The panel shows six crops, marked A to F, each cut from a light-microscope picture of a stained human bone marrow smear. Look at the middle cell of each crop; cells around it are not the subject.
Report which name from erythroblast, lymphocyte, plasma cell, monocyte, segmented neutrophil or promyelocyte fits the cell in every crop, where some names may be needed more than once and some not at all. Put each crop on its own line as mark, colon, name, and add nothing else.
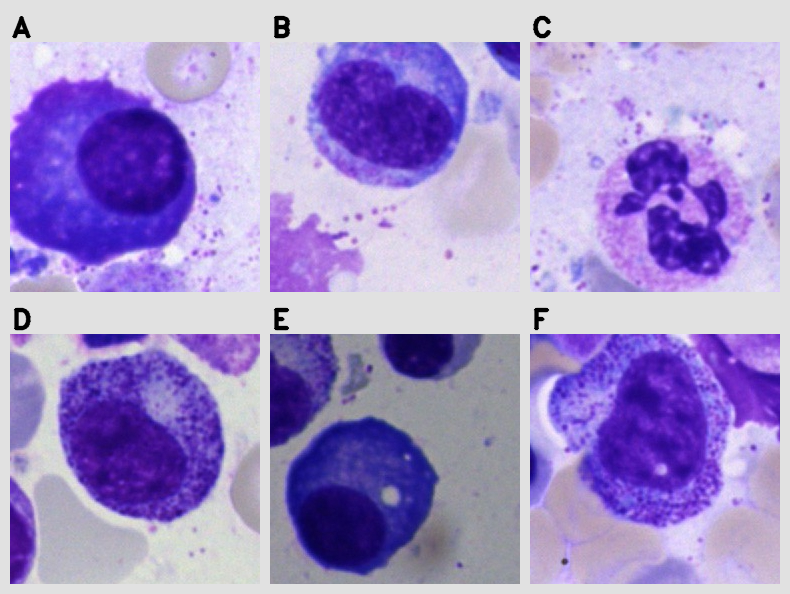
A: plasma cell
B: promyelocyte
C: segmented neutrophil
D: promyelocyte
E: plasma cell
F: promyelocyte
